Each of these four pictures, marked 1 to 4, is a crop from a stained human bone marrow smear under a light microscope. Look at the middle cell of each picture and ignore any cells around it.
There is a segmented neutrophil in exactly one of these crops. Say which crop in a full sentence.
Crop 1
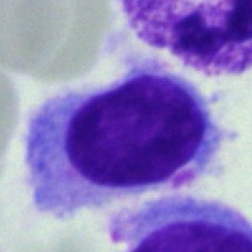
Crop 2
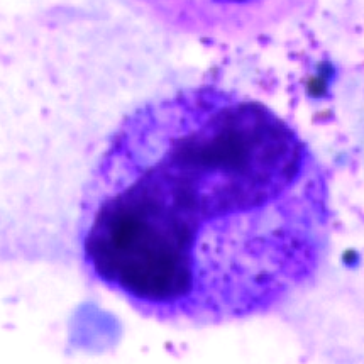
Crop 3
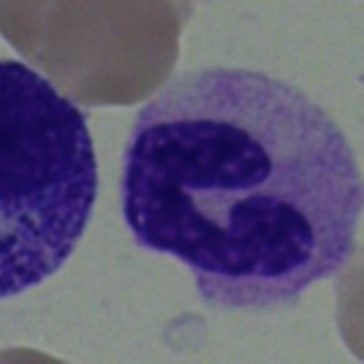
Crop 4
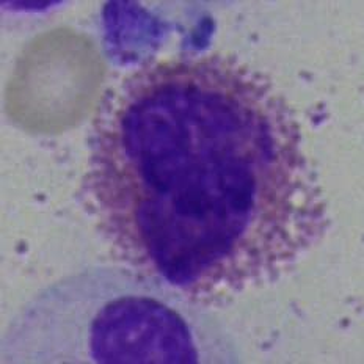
It is in crop 3, among all the crops, that a segmented neutrophil is present.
